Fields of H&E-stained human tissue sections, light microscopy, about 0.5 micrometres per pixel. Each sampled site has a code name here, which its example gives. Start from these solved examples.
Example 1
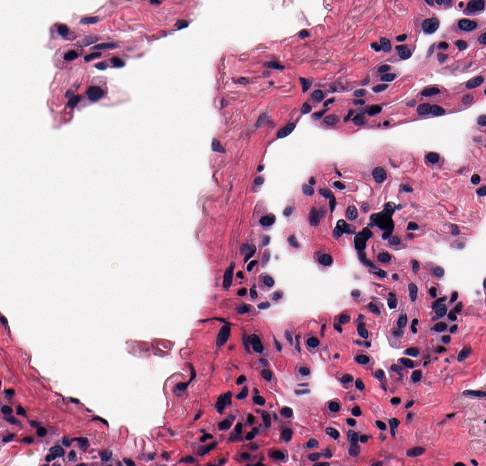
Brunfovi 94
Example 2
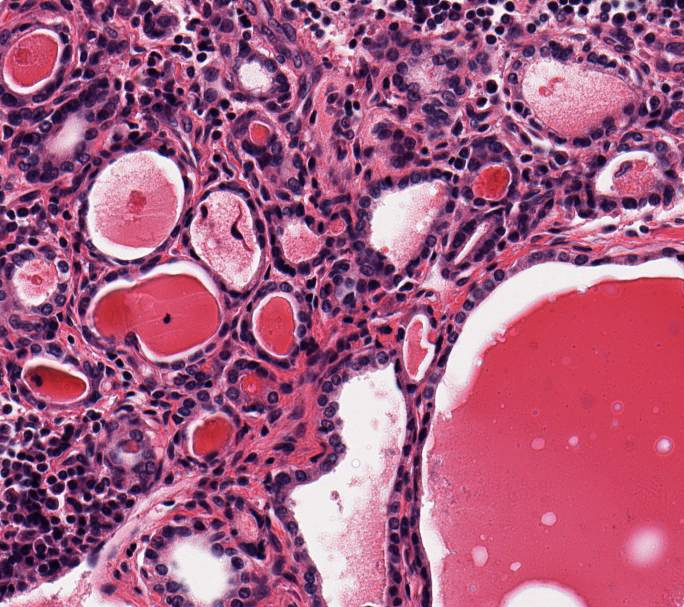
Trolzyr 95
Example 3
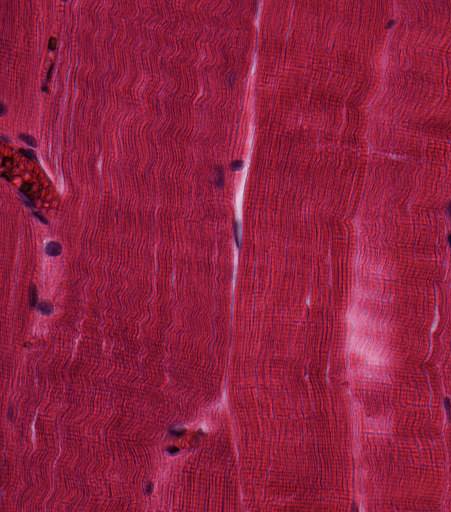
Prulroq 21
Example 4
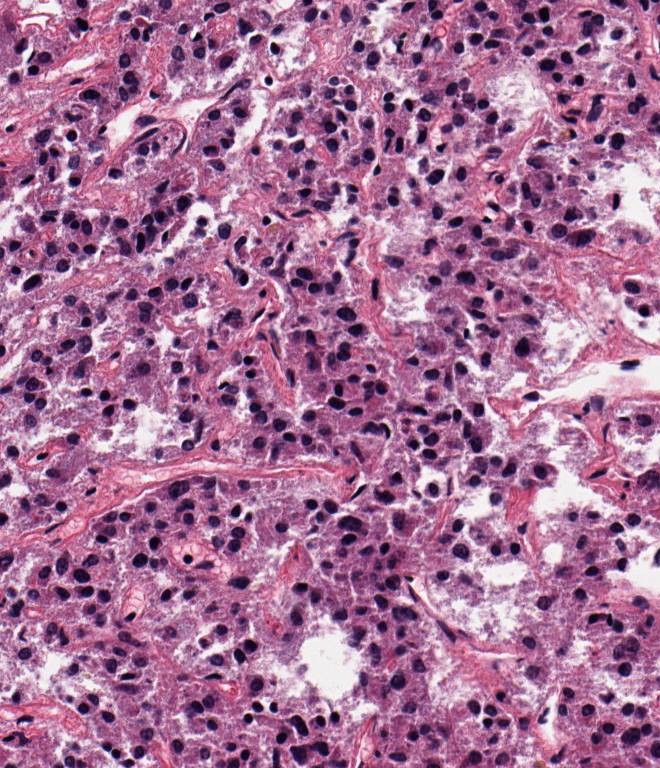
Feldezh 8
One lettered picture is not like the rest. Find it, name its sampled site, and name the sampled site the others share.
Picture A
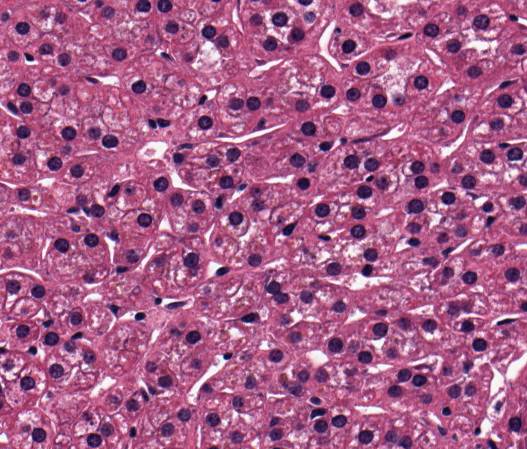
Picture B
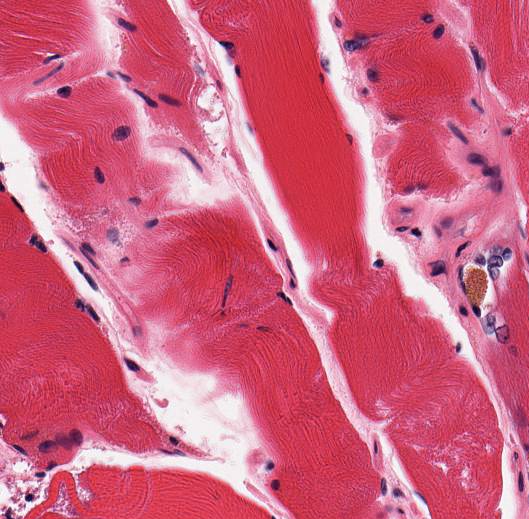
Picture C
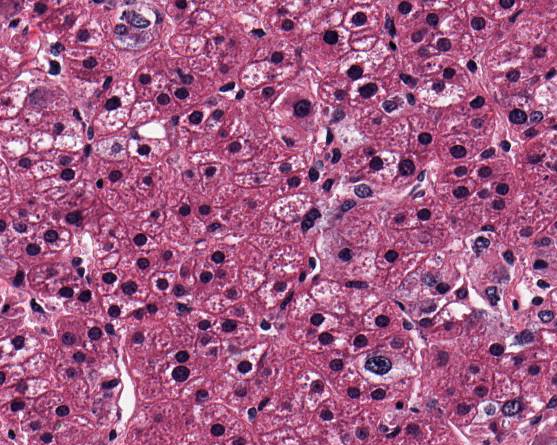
Different: B, Prulroq 21. Others: Feldezh 8.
